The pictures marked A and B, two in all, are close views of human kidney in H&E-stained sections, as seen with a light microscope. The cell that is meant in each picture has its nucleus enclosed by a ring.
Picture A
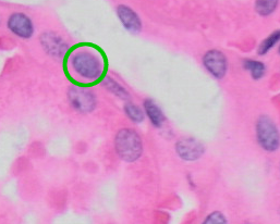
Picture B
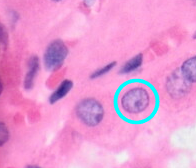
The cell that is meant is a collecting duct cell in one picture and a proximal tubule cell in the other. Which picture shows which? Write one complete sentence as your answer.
Picture A shows a collecting duct cell and picture B shows a proximal tubule cell.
